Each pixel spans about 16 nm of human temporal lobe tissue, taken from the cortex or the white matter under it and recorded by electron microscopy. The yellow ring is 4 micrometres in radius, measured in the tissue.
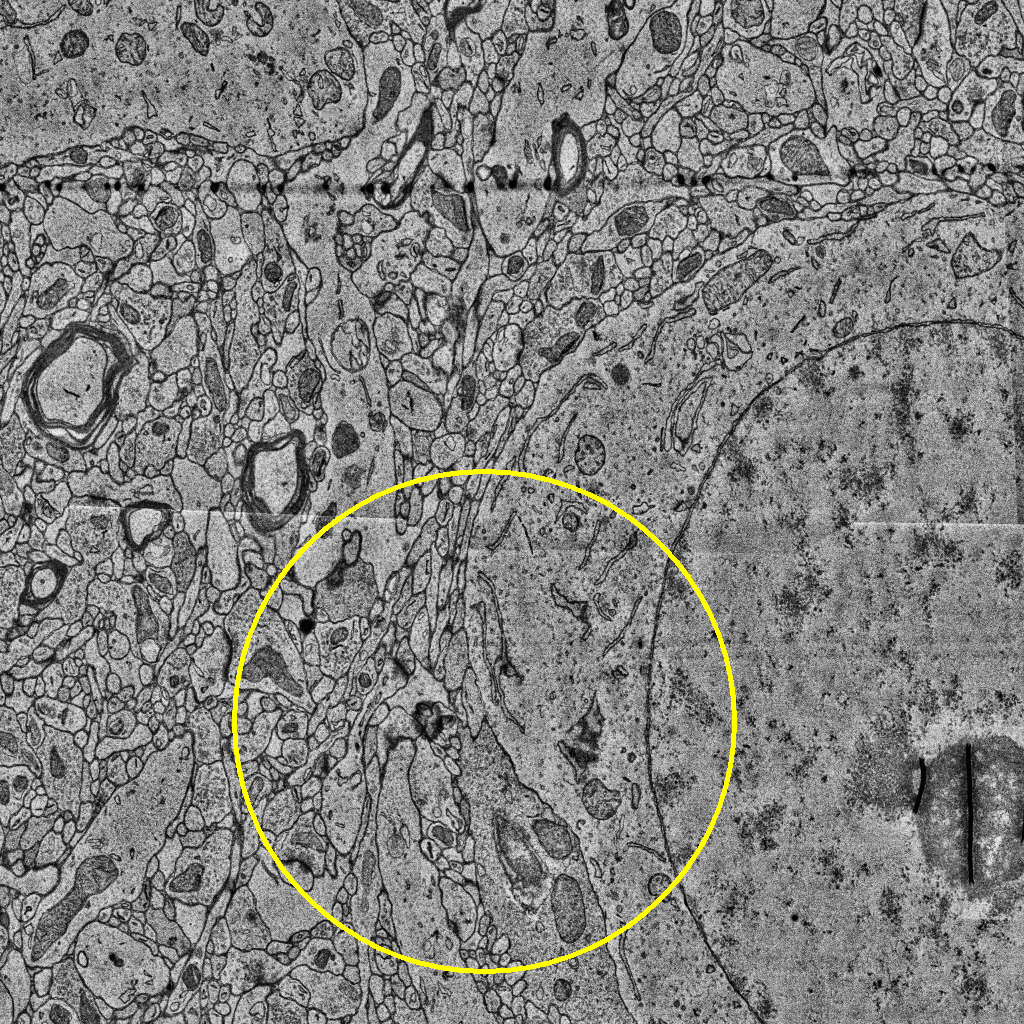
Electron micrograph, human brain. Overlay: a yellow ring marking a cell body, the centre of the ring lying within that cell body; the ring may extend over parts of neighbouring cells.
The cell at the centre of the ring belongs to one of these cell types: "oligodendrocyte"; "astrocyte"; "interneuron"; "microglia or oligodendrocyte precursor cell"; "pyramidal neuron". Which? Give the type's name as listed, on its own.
oligodendrocyte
